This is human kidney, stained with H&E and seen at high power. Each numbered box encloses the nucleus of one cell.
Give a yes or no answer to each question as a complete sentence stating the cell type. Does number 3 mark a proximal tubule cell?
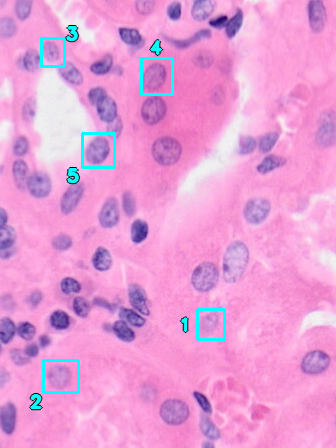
No, cell 3 should be classed as a collecting duct cell, not as a proximal tubule cell.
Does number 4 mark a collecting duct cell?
No, calling cell 4 a collecting duct cell is a mistake; it is a proximal tubule cell.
